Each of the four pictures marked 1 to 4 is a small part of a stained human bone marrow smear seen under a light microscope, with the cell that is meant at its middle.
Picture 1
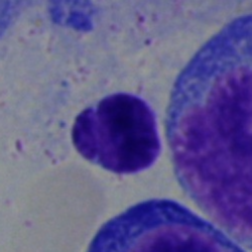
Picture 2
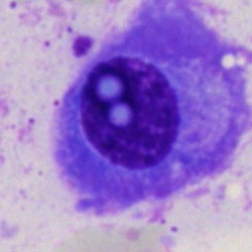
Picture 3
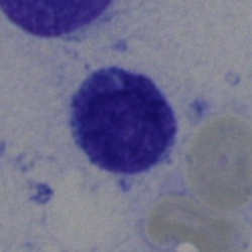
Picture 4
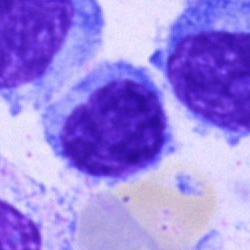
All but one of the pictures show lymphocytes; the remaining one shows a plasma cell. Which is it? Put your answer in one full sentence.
The picture with the plasma cell is 2.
